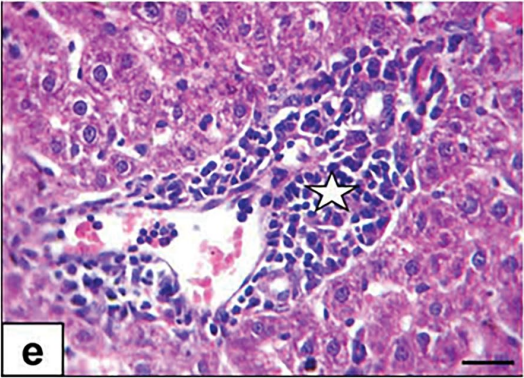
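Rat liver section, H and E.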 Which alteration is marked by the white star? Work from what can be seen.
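The star lies in a dense cluster of small round dark nuclei. The cluster lies beside a vessel containing red blood cells. Hepatocyte cords surround the cluster.
Intense mononuclear cell infiltrations in portal area.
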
